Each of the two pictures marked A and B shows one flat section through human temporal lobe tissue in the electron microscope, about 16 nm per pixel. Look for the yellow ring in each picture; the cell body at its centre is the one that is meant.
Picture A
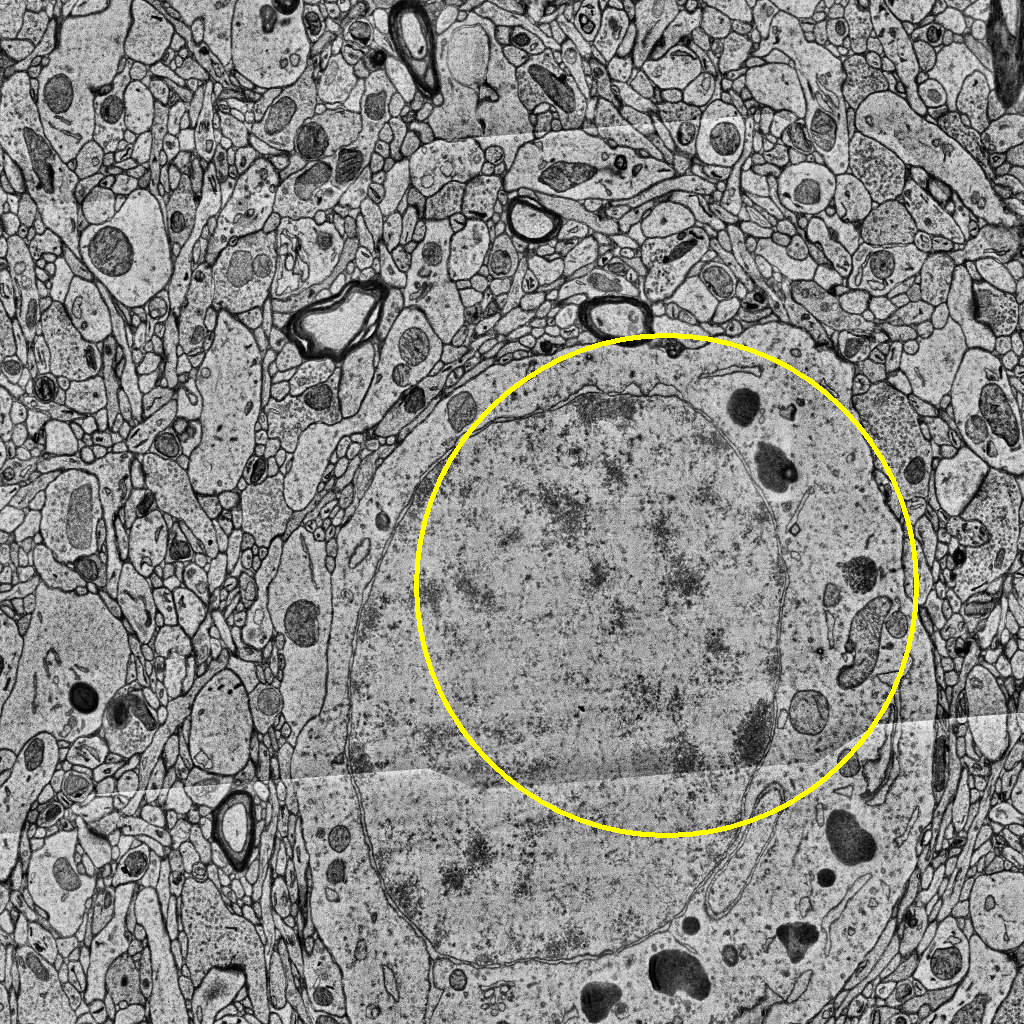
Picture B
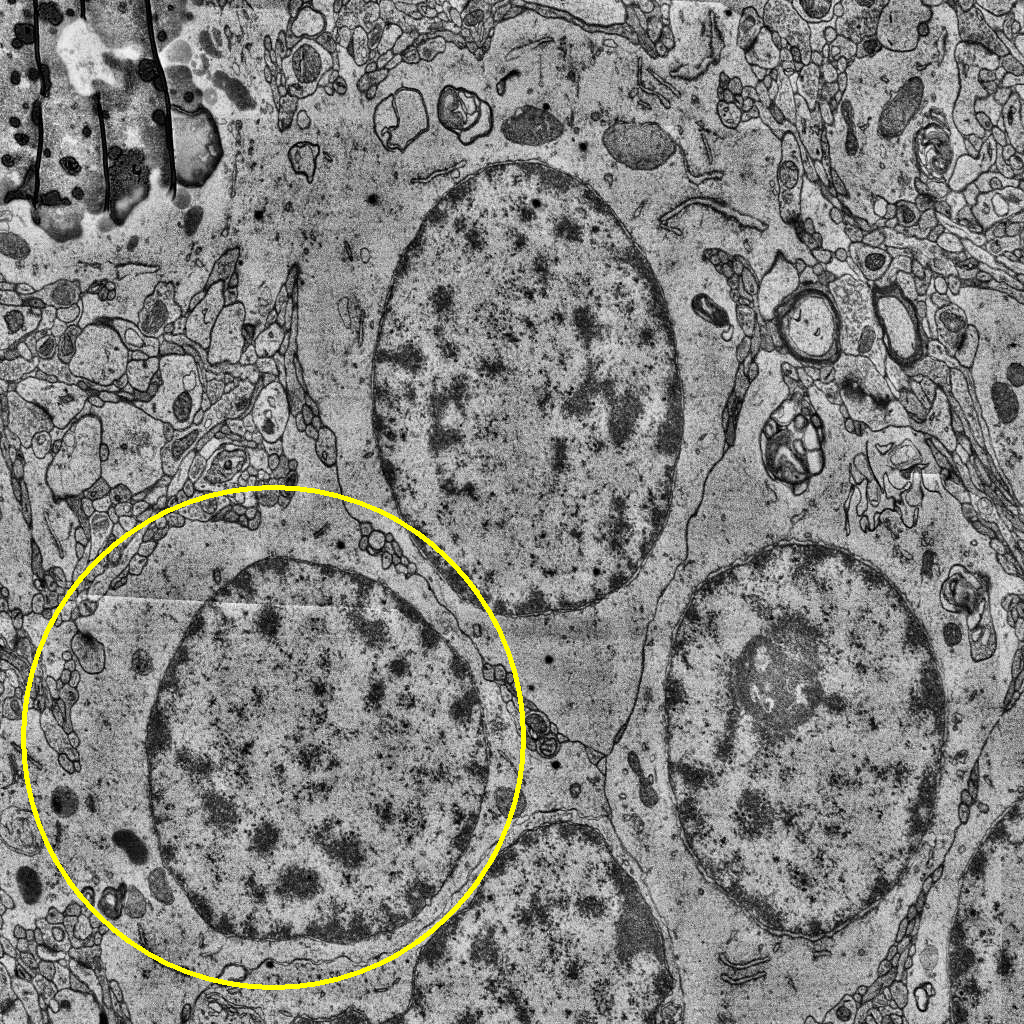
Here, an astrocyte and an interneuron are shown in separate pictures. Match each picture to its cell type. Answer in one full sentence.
It is picture A that shows an interneuron, and picture B that shows an astrocyte.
